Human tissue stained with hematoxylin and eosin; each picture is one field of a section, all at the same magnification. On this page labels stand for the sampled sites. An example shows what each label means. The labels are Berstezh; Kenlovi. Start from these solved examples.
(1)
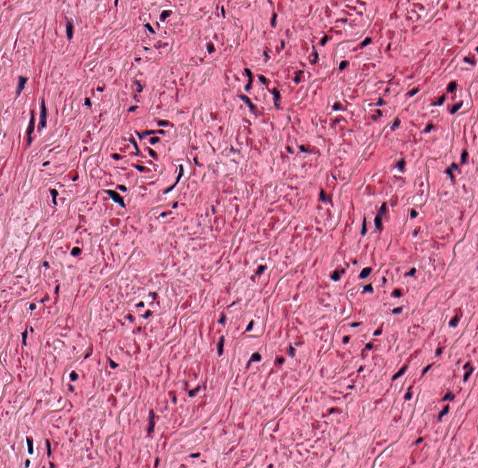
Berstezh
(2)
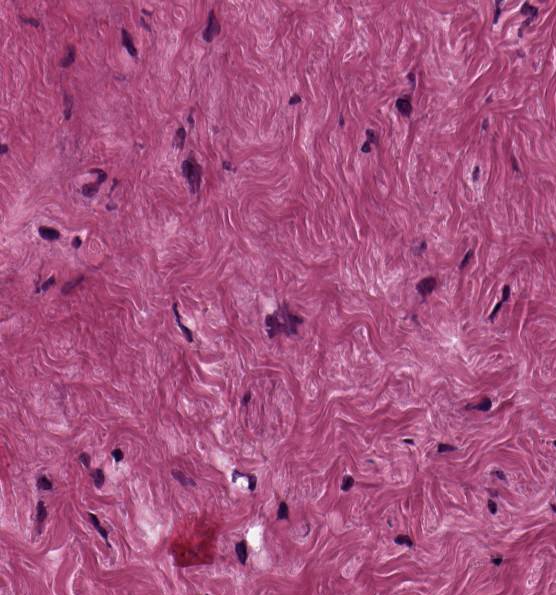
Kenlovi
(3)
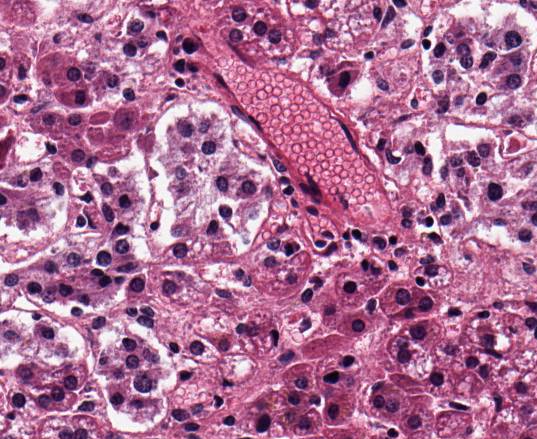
Kenlovi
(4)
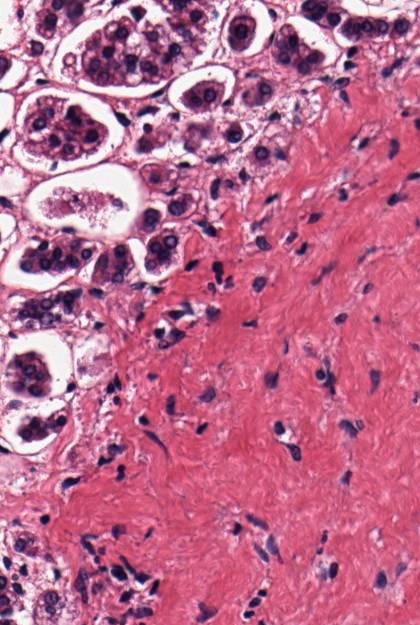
Kenlovi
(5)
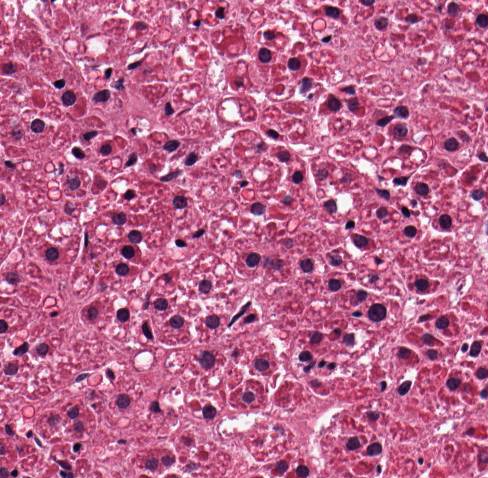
Kenlovi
